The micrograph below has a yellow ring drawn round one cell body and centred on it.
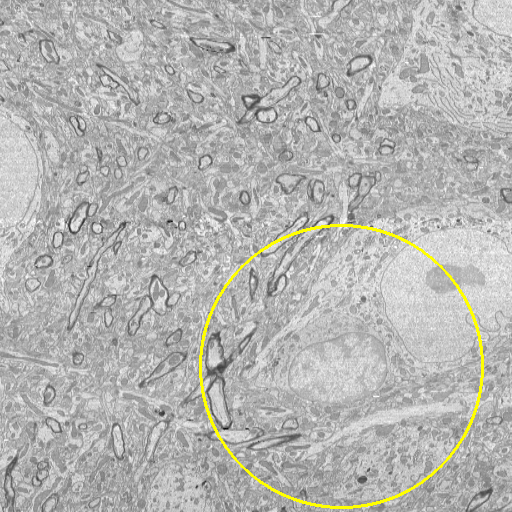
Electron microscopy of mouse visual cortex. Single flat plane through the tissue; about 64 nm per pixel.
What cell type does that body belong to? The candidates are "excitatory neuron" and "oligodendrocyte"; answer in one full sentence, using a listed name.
This is an oligodendrocyte, the cell whose body lies at the centre of the ring.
